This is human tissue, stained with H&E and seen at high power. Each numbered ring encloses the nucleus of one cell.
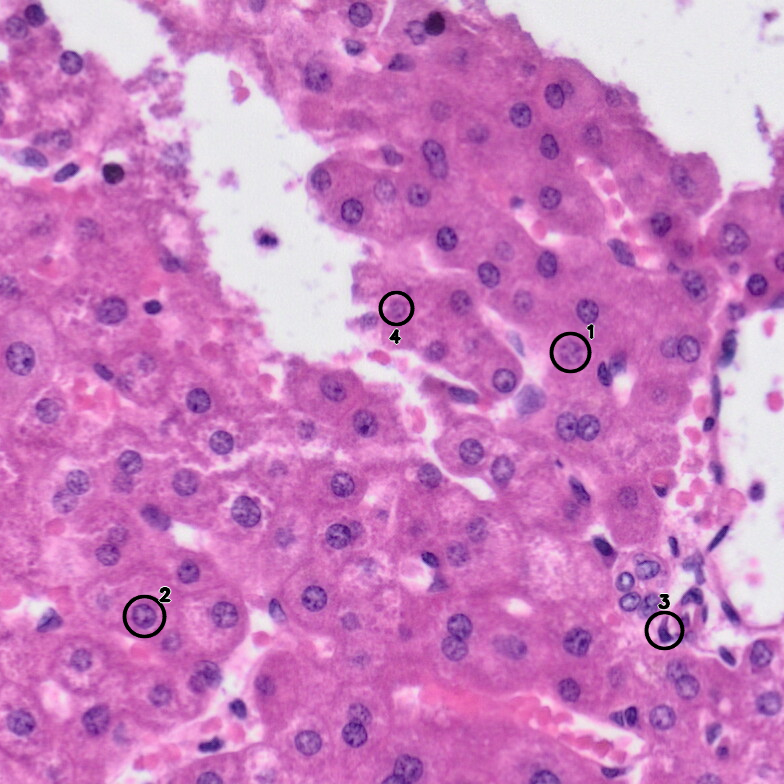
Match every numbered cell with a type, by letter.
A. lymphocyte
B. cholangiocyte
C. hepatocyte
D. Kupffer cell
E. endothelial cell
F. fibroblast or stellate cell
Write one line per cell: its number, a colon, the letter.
1: C
2: C
3: F
4: C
